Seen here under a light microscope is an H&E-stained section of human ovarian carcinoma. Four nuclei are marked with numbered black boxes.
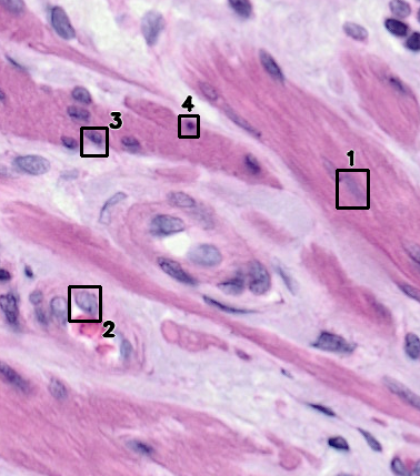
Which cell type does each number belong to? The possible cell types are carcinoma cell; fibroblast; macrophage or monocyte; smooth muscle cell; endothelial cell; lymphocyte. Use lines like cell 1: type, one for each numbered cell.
cell 1: smooth muscle cell
cell 2: endothelial cell
cell 3: smooth muscle cell
cell 4: smooth muscle cell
